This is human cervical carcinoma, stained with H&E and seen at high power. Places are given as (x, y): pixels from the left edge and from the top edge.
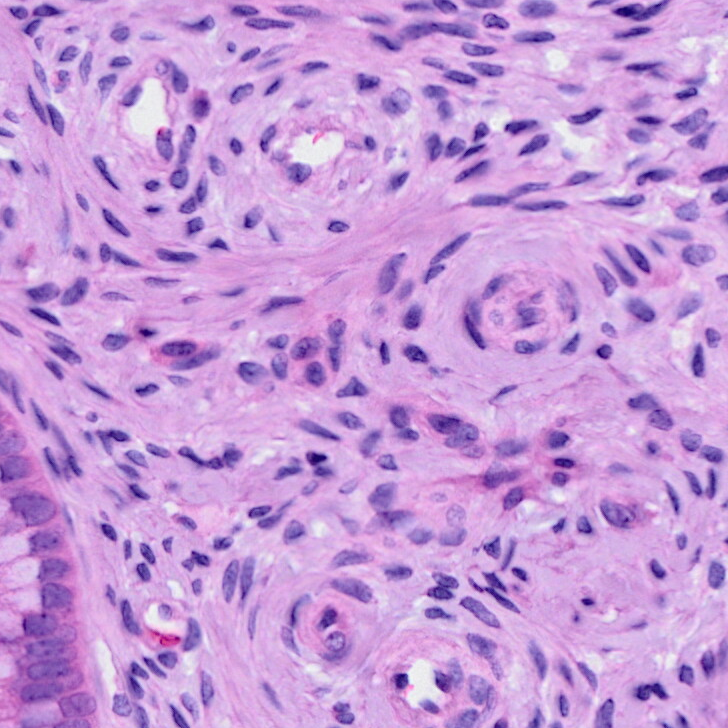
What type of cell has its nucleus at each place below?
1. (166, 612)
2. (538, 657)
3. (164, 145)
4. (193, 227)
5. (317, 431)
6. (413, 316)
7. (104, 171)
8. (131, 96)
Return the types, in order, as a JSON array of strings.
["endothelial cell", "fibroblast", "endothelial cell", "fibroblast", "fibroblast", "fibroblast", "fibroblast", "endothelial cell"]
